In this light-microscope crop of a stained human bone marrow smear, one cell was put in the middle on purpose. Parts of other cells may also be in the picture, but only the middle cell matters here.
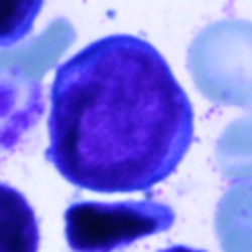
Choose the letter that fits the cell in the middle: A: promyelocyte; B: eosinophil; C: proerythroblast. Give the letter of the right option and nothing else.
C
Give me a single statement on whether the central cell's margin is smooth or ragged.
Its surface contour is regular and smooth, without any protrusions.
